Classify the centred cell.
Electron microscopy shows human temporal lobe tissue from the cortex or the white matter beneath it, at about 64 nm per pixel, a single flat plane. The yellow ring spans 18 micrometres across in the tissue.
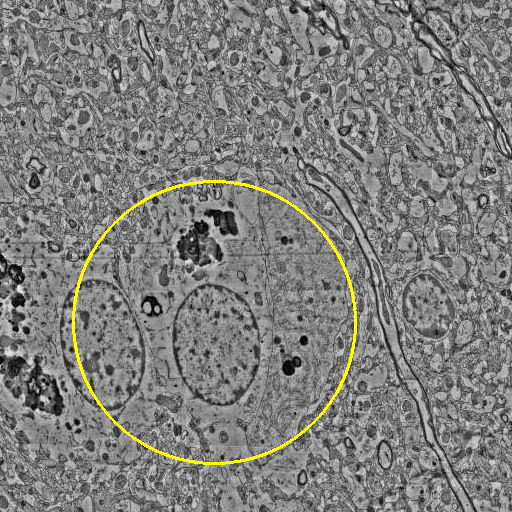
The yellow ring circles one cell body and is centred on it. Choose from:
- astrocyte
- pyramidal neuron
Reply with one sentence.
The ring is centred on an astrocyte.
